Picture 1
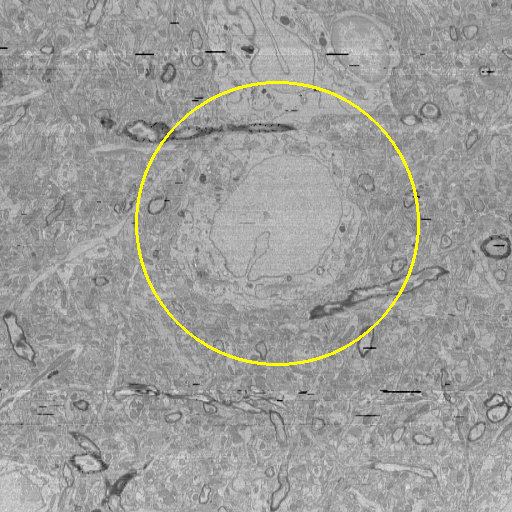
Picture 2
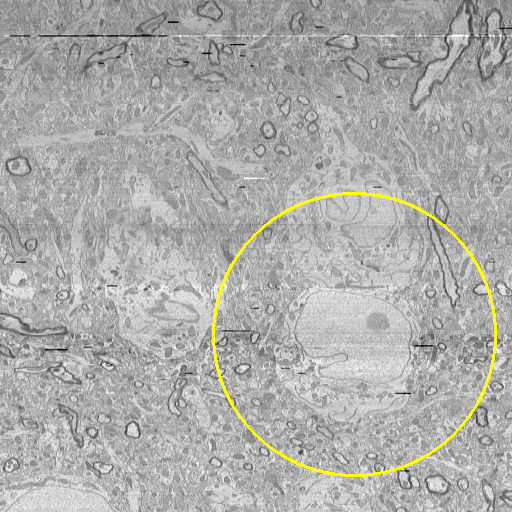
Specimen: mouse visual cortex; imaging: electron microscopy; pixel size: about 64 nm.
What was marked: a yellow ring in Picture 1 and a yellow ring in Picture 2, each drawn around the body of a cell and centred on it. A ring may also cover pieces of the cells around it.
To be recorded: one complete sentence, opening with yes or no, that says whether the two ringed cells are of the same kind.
Yes, the two ringed cells are of the same kind.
